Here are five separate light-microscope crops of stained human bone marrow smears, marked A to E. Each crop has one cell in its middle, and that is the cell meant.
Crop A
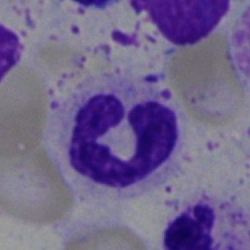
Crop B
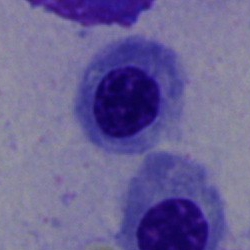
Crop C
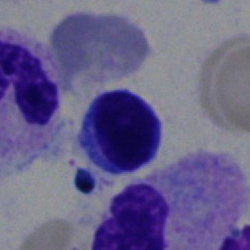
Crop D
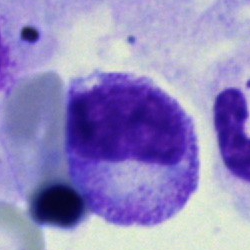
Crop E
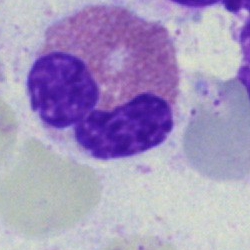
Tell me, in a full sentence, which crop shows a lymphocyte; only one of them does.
The cell identified as a lymphocyte is the one in crop C.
